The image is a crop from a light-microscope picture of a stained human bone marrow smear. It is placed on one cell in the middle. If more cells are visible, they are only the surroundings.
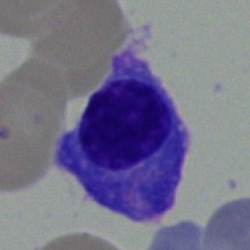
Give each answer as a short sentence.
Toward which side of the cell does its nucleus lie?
The nucleus lies toward the top of the cell.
